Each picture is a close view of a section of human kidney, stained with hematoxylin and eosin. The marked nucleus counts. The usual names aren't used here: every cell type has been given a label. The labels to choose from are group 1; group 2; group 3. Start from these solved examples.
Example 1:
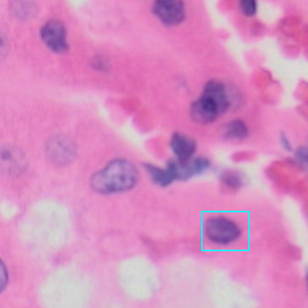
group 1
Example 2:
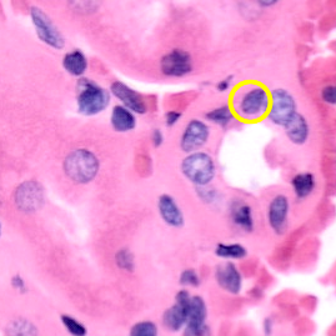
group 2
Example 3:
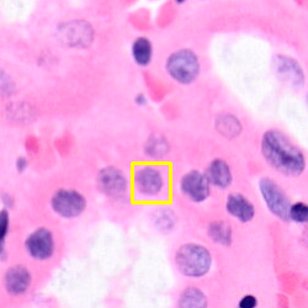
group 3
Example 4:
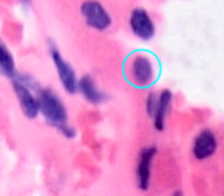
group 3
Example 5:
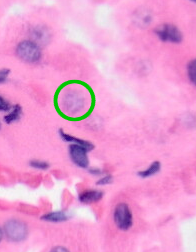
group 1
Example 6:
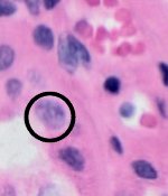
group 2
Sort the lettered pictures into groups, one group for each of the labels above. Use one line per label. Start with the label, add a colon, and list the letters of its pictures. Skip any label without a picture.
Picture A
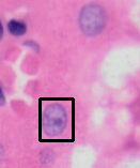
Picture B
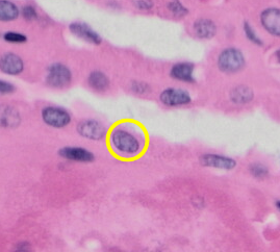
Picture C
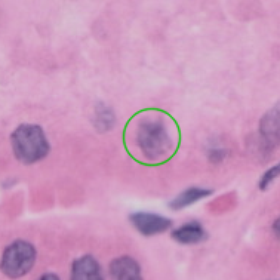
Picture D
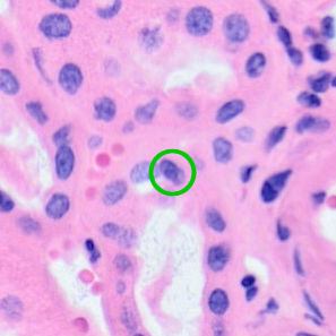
group 1: A, C
group 2: D
group 3: B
